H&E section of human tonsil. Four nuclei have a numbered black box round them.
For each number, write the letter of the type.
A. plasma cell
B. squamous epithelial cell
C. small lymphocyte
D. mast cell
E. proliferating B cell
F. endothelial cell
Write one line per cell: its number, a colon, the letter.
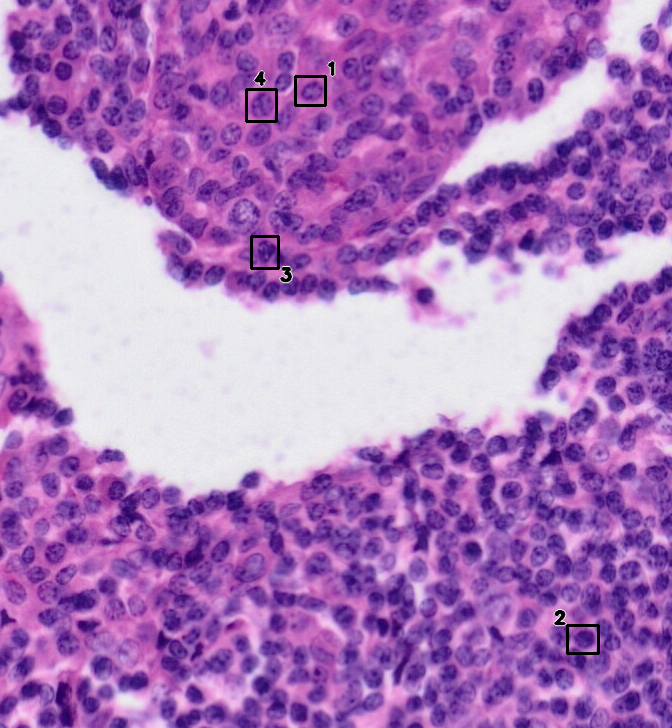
1: A
2: C
3: A
4: A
